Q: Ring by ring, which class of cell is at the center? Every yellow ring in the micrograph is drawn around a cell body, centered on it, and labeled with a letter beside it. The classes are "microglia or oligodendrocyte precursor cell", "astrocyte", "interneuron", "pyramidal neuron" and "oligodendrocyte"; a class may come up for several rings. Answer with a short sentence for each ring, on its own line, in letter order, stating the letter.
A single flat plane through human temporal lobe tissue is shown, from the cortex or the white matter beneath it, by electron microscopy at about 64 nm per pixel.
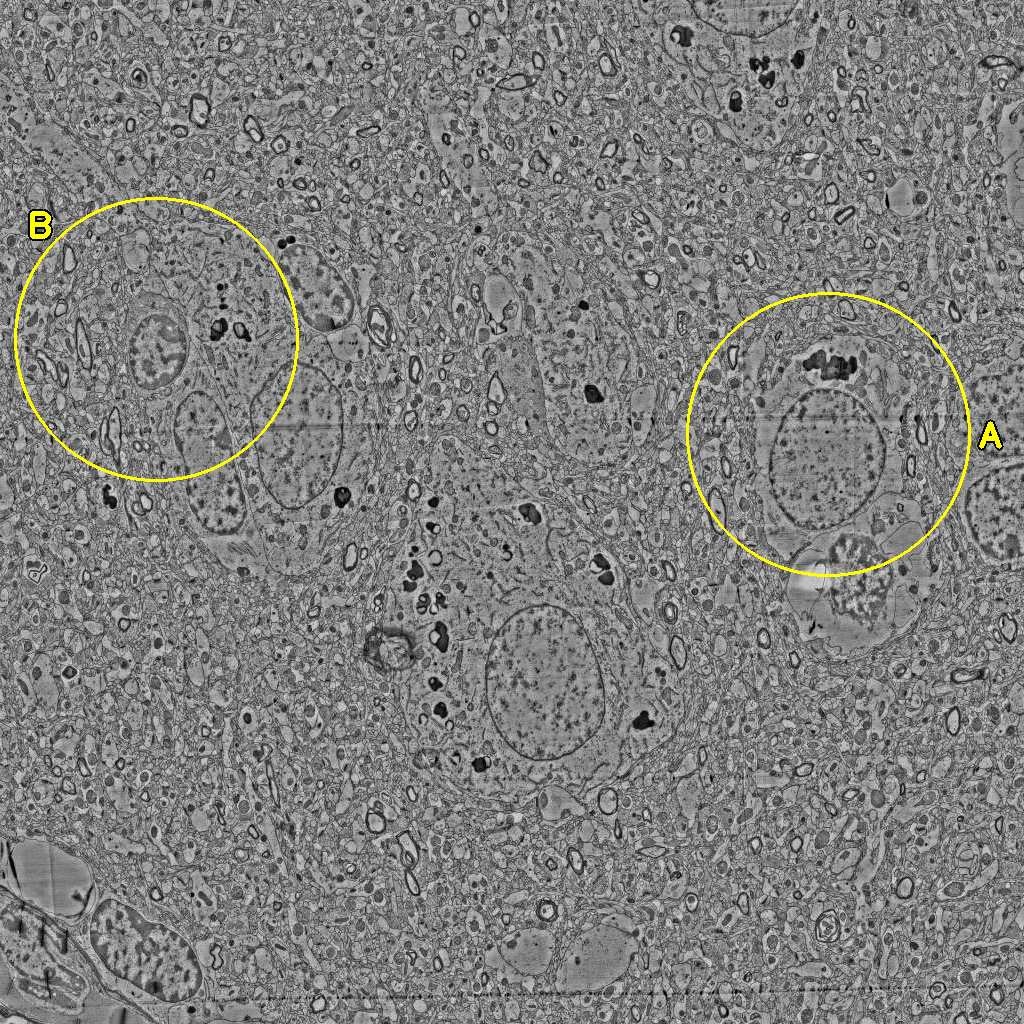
Ring A holds an astrocyte at its center.
Ring B holds an oligodendrocyte at its center.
